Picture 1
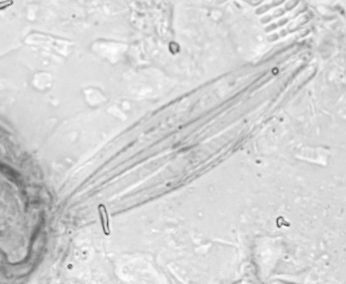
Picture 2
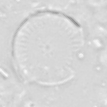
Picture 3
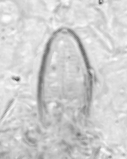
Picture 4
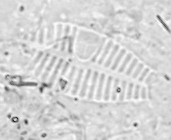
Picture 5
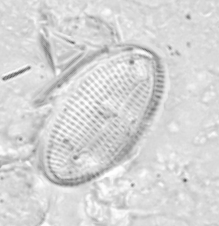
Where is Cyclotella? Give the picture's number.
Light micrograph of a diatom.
2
